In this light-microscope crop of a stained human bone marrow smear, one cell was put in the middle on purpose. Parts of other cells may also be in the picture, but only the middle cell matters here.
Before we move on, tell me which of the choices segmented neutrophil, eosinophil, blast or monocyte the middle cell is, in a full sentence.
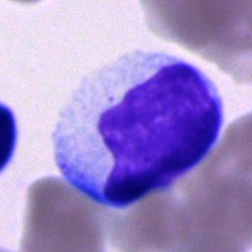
The cell under consideration, at the middle of the crop, is a blast.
